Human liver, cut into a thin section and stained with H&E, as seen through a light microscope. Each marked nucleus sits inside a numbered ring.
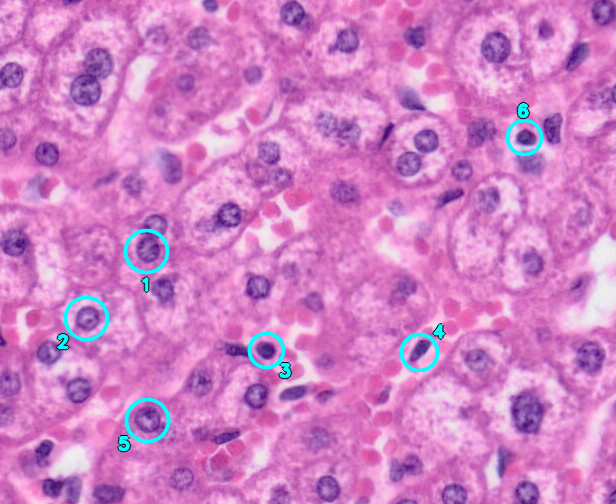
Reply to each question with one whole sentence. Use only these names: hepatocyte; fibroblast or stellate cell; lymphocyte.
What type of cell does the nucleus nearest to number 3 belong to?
Number 3 lies closest to the nucleus of a fibroblast or stellate cell.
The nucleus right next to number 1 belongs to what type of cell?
The cell nearest to number 1 is a hepatocyte.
